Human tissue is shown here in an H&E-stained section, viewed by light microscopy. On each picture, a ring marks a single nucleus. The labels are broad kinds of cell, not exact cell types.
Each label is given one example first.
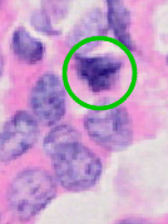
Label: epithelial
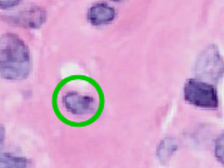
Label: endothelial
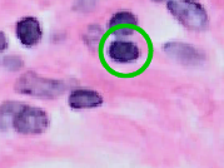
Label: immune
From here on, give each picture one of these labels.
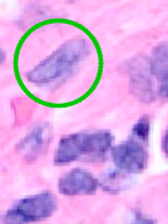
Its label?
endothelial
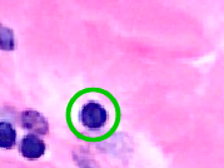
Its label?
immune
